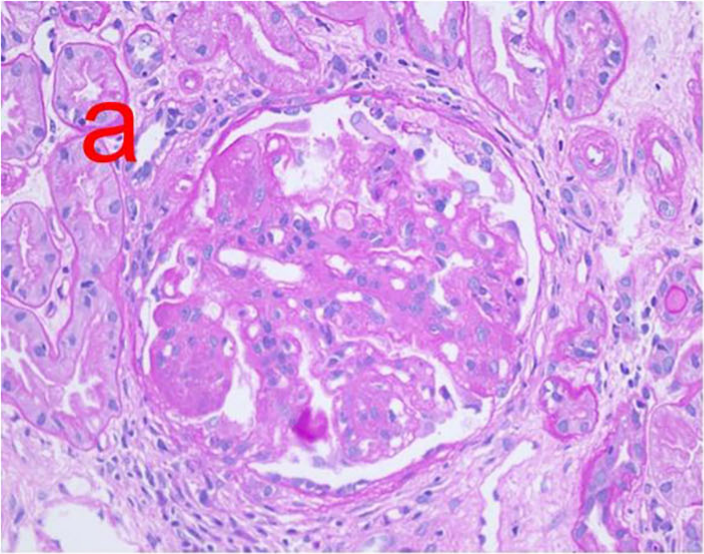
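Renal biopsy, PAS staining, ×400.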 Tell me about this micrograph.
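A kidney glomerulus lies within Bowman's capsule and is surrounded by tubules and interstitium. The surrounding interstitium holds many small nuclei, and the tubules have magenta-outlined basement membranes.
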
